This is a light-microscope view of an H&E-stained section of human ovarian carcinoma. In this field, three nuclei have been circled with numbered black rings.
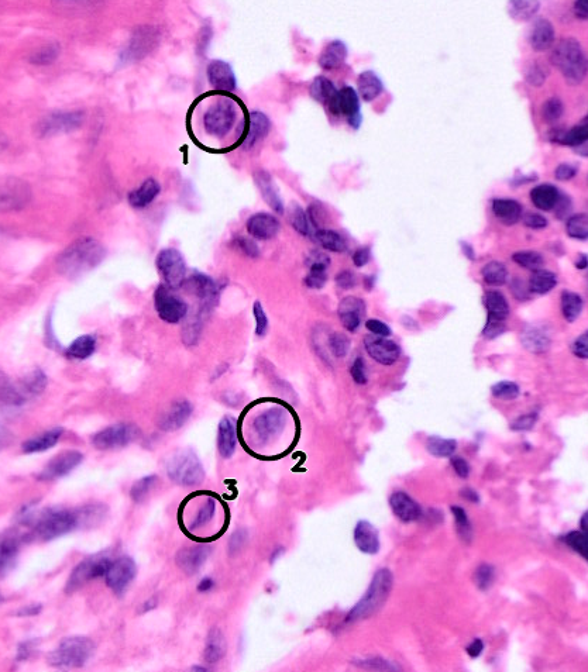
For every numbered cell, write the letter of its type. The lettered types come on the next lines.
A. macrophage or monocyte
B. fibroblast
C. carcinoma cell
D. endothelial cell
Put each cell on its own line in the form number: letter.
1: A
2: B
3: B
